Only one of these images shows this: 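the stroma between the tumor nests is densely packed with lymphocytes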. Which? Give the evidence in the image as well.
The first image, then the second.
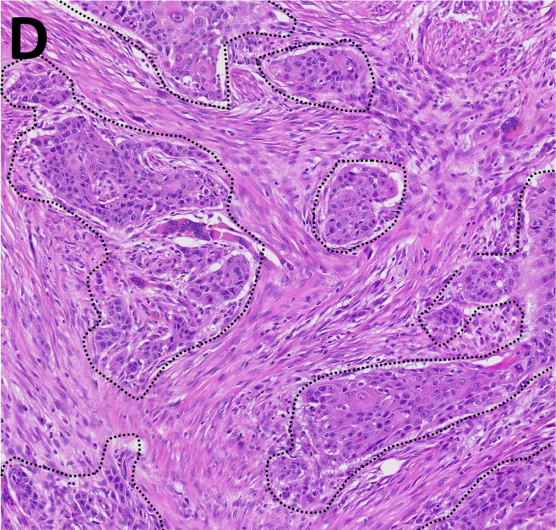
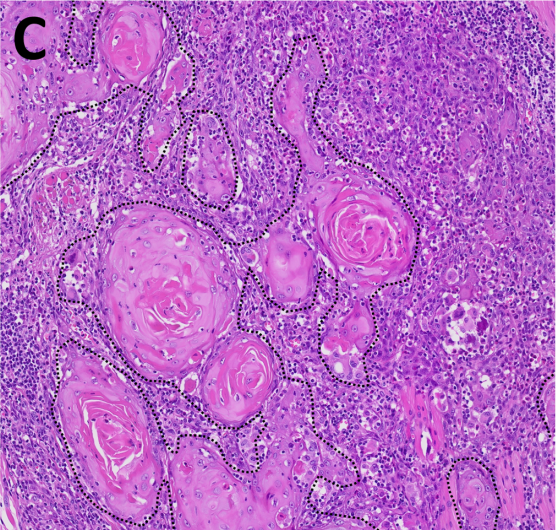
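The second image. First image: the stroma is mainly pink fibrous tissue with spindle cells and few small dark round cells. Second image: the stroma is filled with sheets of small dark round cells.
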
